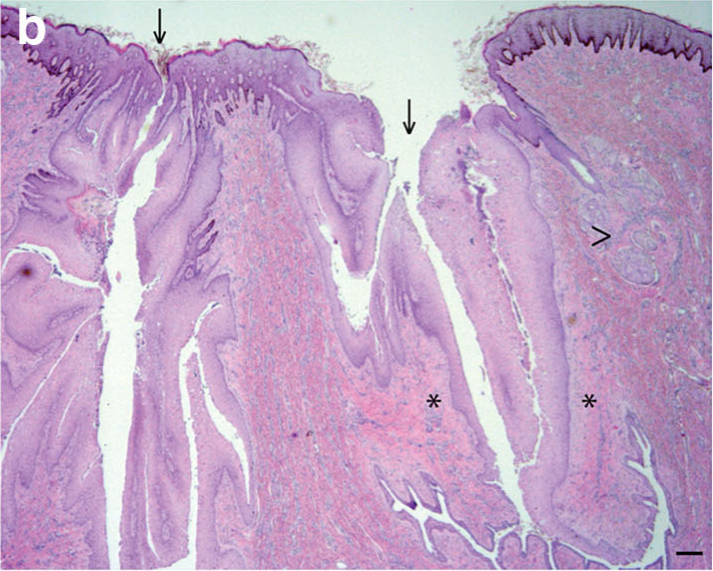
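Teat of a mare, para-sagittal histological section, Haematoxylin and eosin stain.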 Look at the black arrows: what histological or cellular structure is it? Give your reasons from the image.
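Openings of the ductal systems. Each arrow points to a gap where the surface epithelium dips inward. The gaps lead into long, narrow clefts lined by folded epithelium running deep into the tissue.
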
